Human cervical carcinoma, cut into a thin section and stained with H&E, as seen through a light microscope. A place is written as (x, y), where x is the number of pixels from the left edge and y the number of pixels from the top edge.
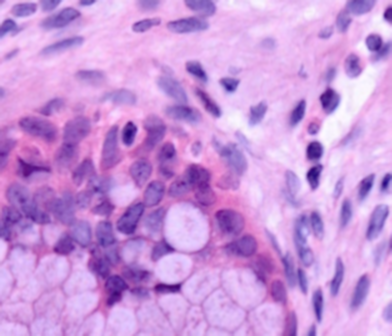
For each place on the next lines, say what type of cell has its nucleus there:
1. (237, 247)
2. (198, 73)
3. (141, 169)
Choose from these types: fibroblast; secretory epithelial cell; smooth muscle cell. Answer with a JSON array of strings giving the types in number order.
["secretory epithelial cell", "fibroblast", "secretory epithelial cell"]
